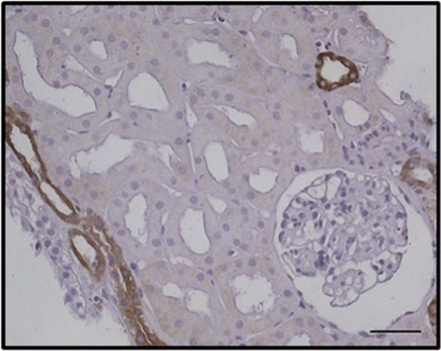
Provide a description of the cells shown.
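This is kidney cortex with tubules around a glomerulus, a few of which are strongly stained. Most other tubules show a faint pale brown cytoplasm, with blue round nuclei and wide, open lumina. A glomerulus with a lobulated capillary tuft inside a clear space and capsule lies at the right and is not stained.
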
